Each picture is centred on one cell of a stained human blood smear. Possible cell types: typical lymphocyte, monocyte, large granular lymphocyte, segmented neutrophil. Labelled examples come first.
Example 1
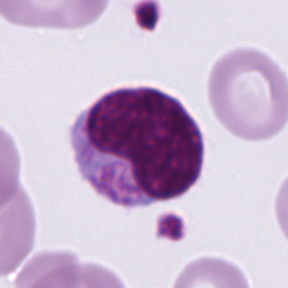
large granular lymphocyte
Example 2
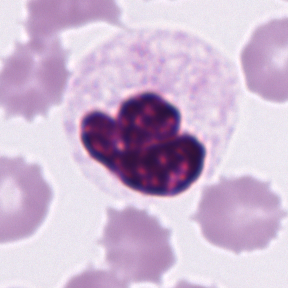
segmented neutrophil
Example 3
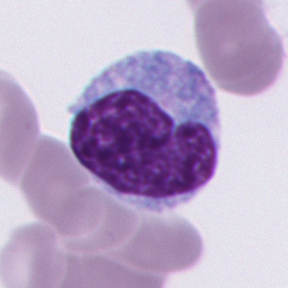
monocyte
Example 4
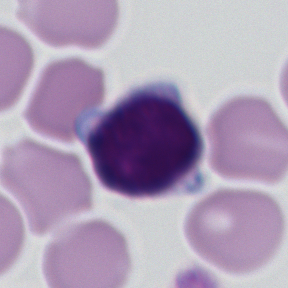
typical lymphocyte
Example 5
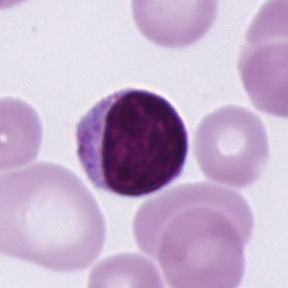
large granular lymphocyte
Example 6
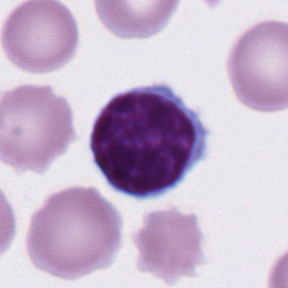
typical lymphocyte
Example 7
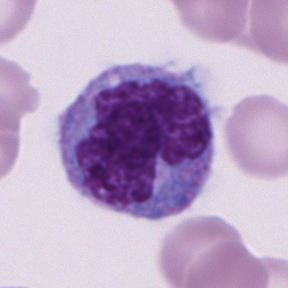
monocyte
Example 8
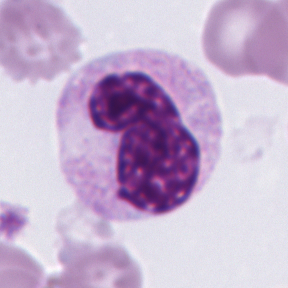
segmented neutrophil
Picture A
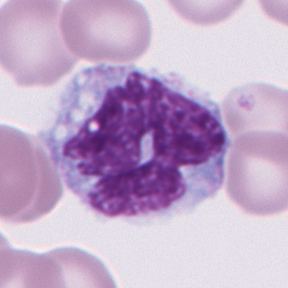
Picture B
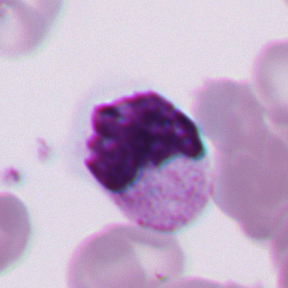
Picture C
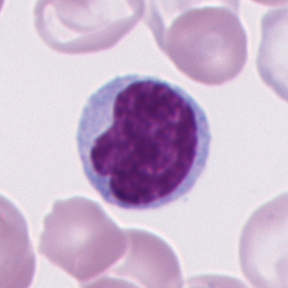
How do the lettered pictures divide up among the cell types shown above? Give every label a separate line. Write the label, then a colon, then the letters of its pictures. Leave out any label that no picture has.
typical lymphocyte: C
monocyte: A
segmented neutrophil: B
